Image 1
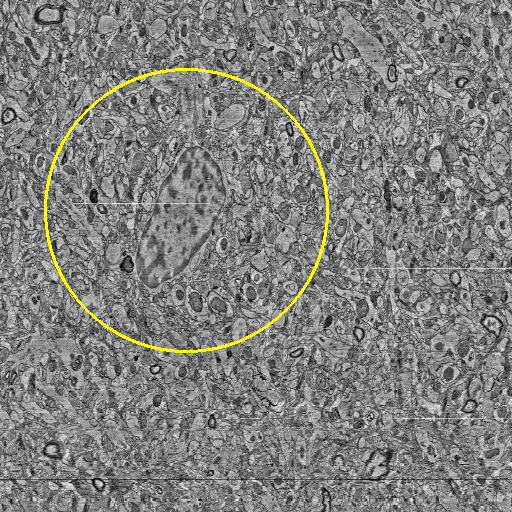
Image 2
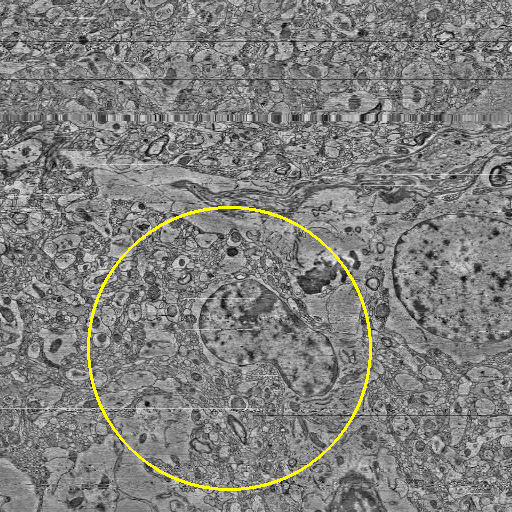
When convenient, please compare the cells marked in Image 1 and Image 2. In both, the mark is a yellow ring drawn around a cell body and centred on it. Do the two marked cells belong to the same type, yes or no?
yes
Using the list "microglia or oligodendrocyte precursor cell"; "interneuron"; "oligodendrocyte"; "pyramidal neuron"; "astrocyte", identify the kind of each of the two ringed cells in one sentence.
The second cell is a microglial cell or oligodendrocyte precursor cell, just as the first is.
